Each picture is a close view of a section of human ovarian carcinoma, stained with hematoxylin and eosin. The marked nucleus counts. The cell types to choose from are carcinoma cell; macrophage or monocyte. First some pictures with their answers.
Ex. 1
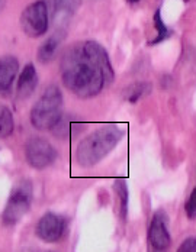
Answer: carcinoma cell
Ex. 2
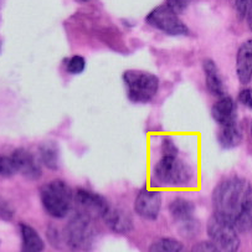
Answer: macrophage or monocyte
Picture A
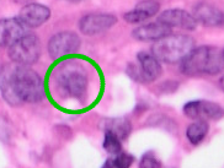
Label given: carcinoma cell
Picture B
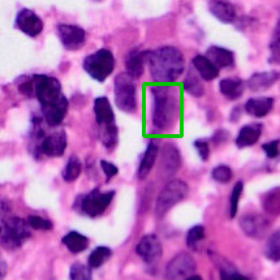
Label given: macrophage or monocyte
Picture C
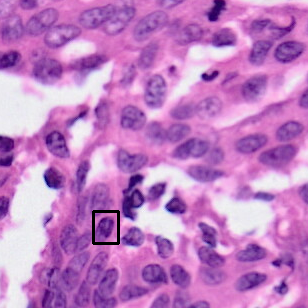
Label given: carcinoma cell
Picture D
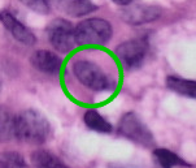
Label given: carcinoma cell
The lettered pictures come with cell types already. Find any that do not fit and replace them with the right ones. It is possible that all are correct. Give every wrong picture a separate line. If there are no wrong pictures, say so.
B: carcinoma cell, not macrophage or monocyte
